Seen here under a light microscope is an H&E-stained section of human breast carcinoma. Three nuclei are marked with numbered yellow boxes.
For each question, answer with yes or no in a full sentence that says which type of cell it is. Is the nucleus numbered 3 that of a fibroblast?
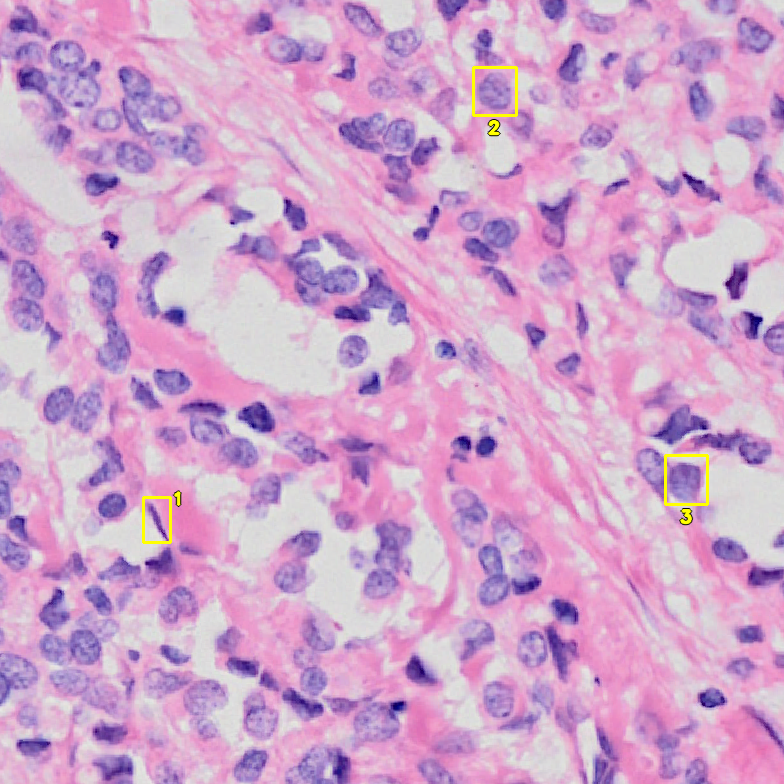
No, cell 3 is not a fibroblast at all but a carcinoma cell.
